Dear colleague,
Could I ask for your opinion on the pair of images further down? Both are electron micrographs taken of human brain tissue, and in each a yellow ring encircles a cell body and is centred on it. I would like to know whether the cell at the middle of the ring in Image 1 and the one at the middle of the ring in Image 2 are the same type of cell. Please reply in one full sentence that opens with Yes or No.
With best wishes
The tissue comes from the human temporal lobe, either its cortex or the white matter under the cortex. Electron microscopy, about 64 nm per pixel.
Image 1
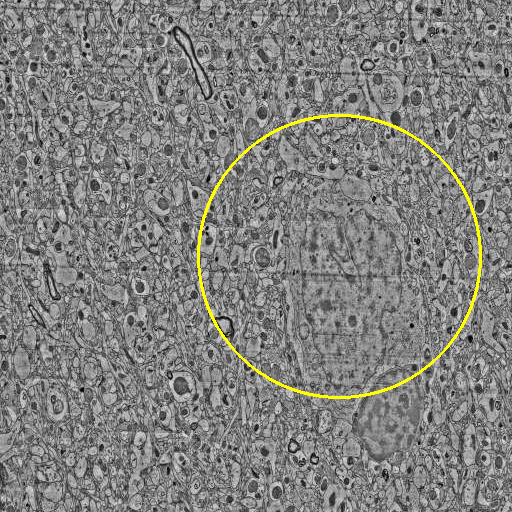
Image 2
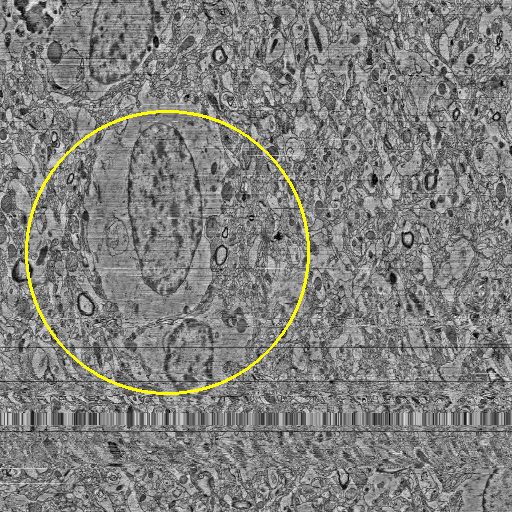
No, the cells at the ring centres in Image 1 and Image 2 are of two types.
